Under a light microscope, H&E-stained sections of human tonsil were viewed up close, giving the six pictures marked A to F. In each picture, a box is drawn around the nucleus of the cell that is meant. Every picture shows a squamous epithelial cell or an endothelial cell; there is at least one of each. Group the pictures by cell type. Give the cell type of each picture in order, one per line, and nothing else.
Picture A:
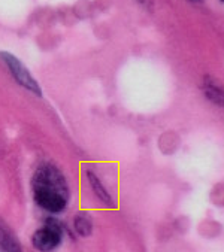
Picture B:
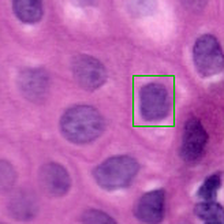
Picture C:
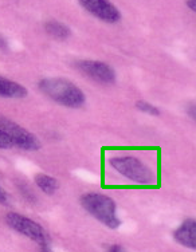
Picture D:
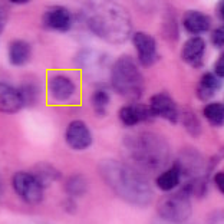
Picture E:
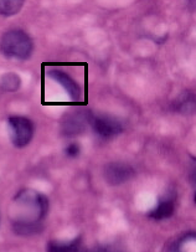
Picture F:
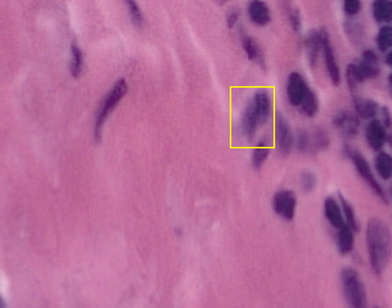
endothelial cell
squamous epithelial cell
squamous epithelial cell
endothelial cell
squamous epithelial cell
endothelial cell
